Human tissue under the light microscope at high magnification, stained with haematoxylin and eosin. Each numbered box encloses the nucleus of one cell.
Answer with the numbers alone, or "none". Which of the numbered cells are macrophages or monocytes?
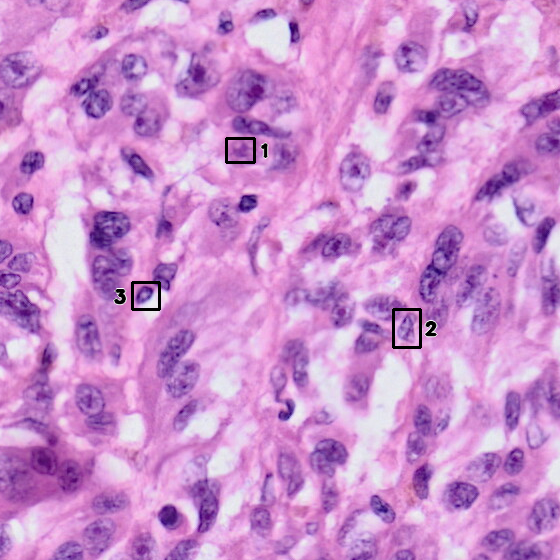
2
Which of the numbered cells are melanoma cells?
1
